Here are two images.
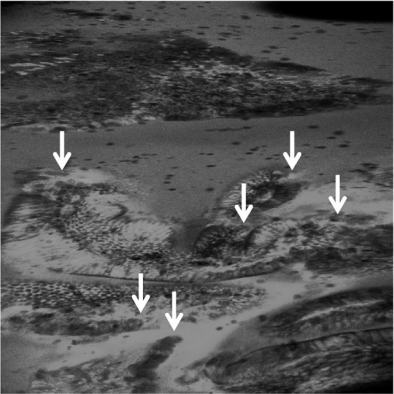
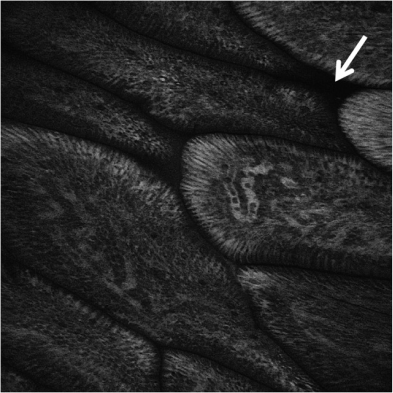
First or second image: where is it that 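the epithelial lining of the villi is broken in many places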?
The first image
